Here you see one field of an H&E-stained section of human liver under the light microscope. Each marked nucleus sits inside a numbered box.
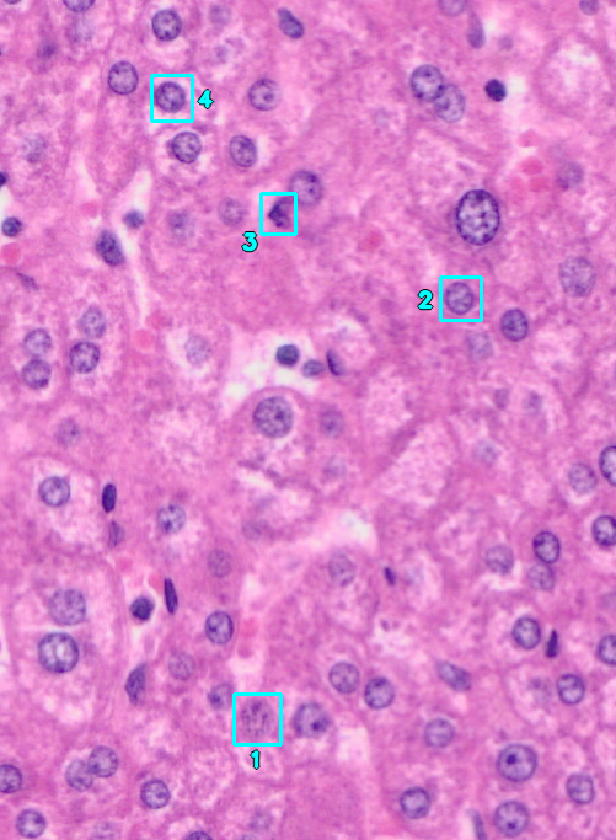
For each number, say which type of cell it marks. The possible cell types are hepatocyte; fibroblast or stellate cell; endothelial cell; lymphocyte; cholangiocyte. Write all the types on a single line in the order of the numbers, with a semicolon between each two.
hepatocyte; hepatocyte; endothelial cell; hepatocyte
